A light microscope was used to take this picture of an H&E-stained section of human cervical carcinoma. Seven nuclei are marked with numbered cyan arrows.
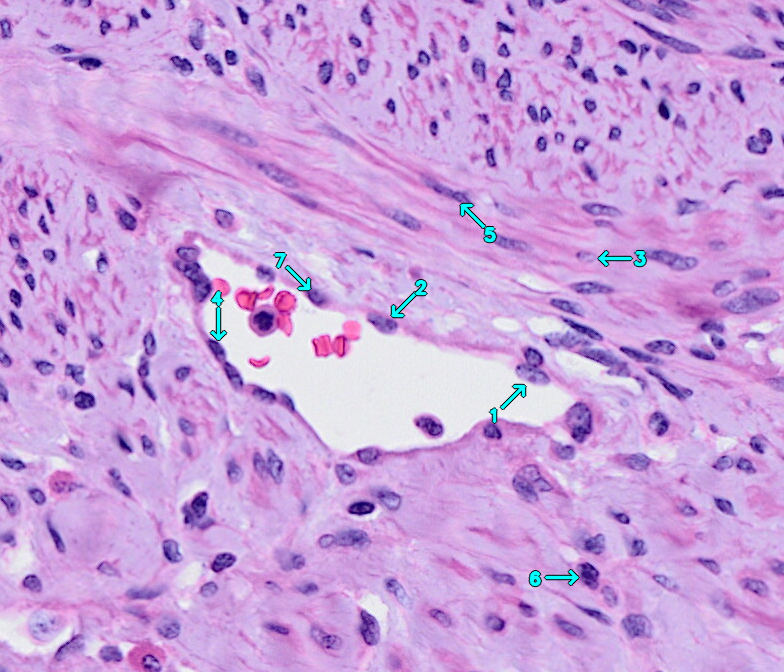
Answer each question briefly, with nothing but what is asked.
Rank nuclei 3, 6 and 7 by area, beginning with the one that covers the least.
3, 7, 6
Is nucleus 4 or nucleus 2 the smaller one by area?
4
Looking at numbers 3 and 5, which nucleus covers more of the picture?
5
